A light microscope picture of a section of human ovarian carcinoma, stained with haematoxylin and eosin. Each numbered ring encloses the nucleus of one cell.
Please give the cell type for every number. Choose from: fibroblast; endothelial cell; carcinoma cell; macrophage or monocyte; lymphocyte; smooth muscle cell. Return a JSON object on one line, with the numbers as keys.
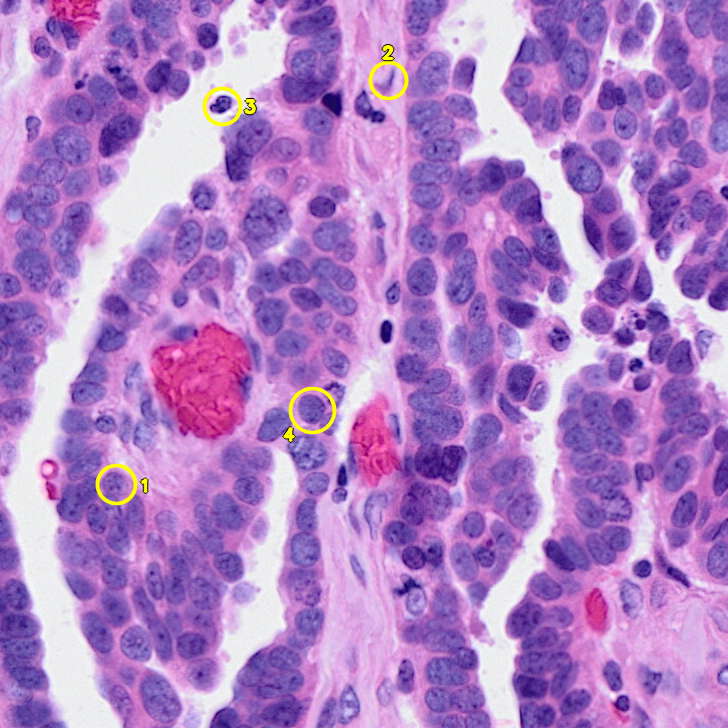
{"1": "carcinoma cell", "2": "fibroblast", "3": "lymphocyte", "4": "carcinoma cell"}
